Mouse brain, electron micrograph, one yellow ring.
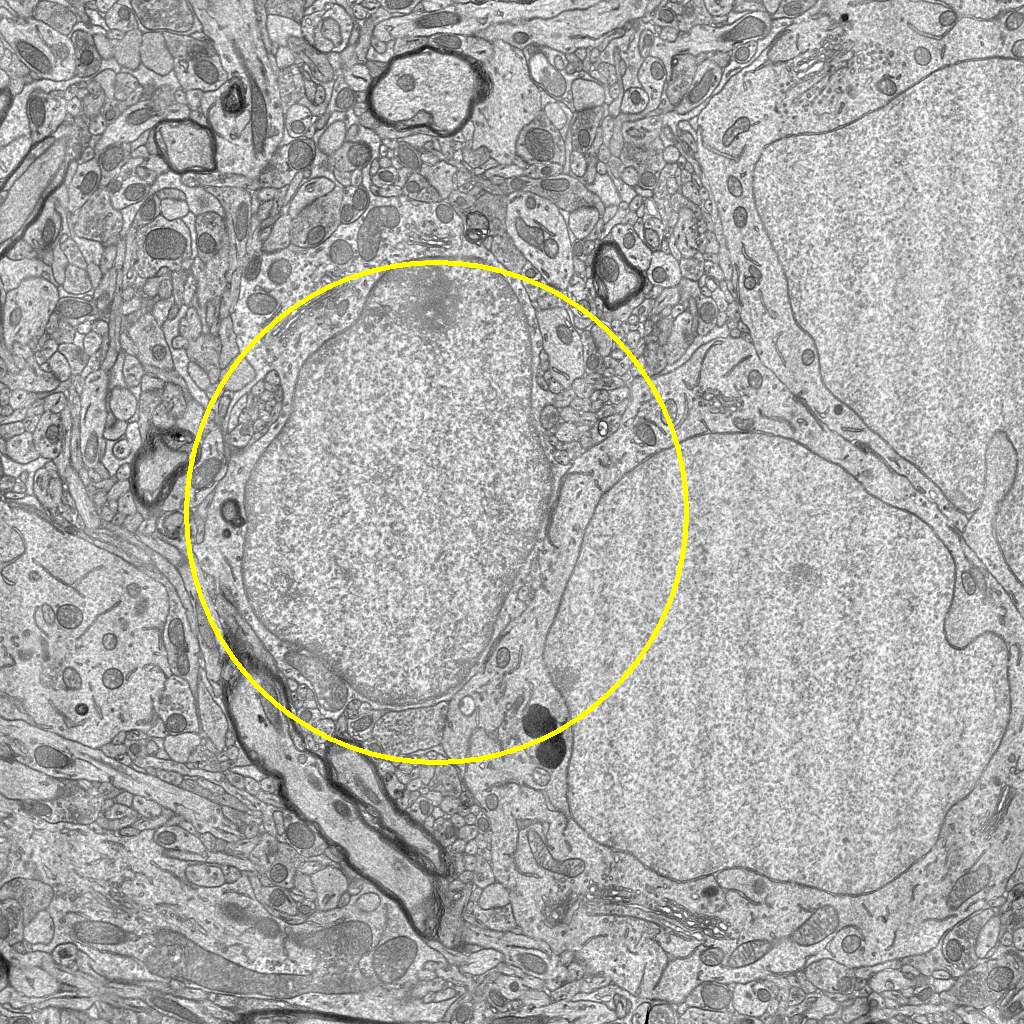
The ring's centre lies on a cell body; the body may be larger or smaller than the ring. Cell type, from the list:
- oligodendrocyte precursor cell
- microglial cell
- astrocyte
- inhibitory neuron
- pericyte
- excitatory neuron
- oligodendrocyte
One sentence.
The yellow ring's centre lies on an astrocyte.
